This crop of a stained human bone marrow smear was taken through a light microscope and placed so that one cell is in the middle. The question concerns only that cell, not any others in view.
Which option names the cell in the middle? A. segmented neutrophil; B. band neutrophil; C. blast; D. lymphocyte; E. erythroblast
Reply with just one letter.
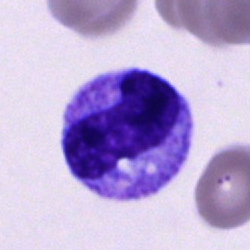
B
